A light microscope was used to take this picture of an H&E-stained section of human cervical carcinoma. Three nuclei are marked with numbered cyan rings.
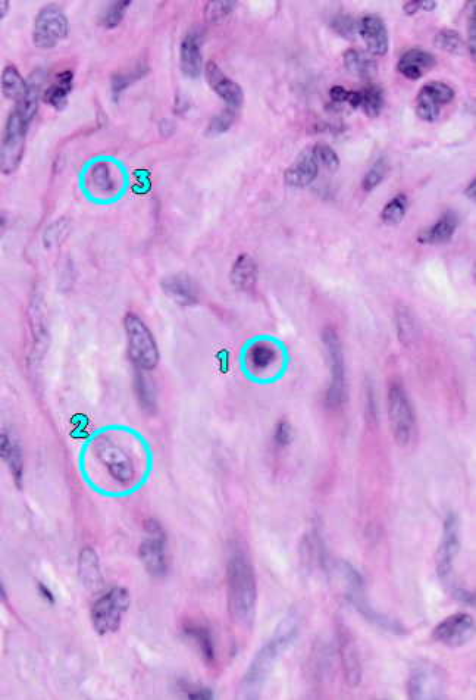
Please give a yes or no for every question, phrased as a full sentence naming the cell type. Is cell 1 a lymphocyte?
Yes, for number 1, the cell is a lymphocyte.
